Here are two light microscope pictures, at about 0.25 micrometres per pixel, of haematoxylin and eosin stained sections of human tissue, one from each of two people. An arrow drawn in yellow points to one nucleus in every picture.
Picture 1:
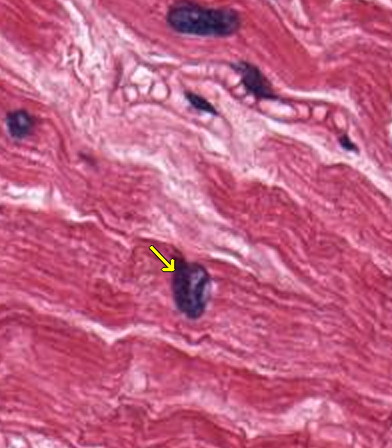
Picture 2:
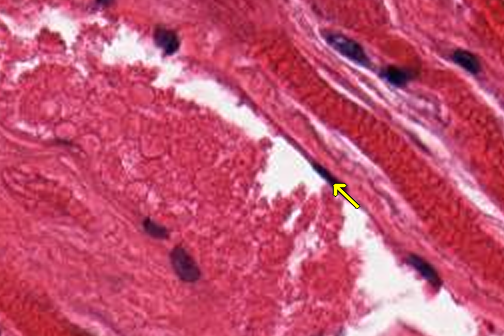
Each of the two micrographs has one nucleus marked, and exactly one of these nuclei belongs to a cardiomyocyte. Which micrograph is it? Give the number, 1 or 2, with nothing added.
1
